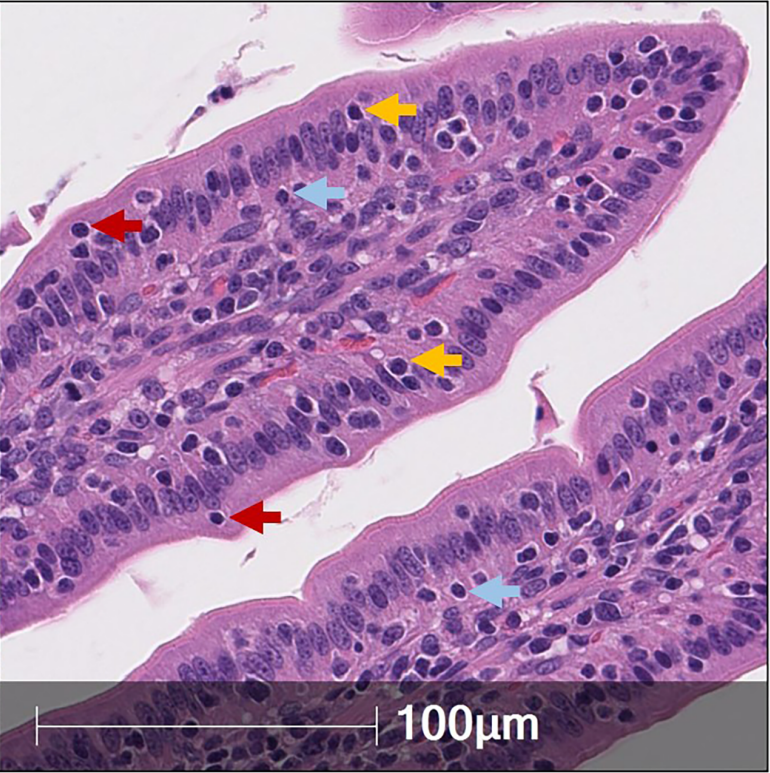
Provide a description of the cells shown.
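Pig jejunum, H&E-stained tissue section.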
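This is the tip of an intestinal villus. It is covered by tall columnar epithelial cells whose elongated purple nuclei stand in a crowded palisade, with a thin pink brush border along the luminal surface. Scattered among them are small, round, dark purple nuclei, often with a clear halo; these are intraepithelial lymphocytes, lying near the surface, at the level of the epithelial nuclei, or down at the base of the epithelium. The core of the villus is loose lamina propria with mixed round and spindle-shaped cells and narrow capillaries holding red blood cells.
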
